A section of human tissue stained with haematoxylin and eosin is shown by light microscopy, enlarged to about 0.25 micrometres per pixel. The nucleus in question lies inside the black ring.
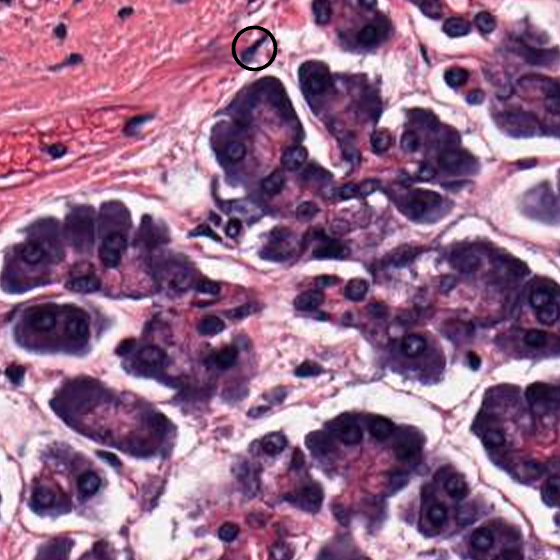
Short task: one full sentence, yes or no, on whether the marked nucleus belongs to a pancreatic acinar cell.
No, the marked nucleus belongs not to a pancreatic acinar cell but to a supporting cell of connective tissue, a vessel or the immune system.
